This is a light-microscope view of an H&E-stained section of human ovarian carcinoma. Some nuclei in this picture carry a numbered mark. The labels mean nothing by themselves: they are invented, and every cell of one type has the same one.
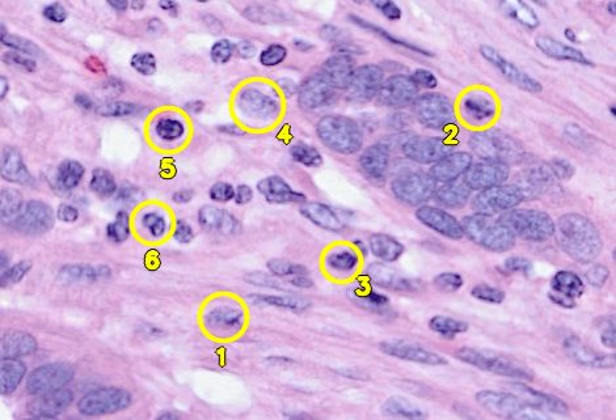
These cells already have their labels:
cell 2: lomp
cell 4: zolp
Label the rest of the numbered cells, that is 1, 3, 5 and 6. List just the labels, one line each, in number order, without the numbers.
zolp
lomp
lomp
lomp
